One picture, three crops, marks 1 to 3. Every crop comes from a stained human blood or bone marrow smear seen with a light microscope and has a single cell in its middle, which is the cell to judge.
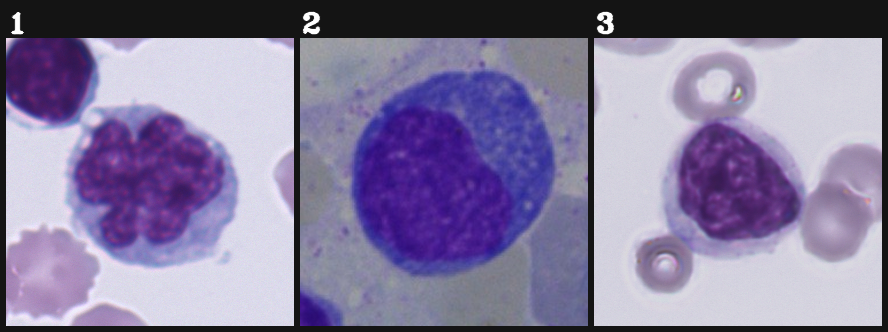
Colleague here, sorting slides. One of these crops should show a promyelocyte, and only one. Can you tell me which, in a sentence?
Of these crops, it is crop 2 that shows a promyelocyte.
